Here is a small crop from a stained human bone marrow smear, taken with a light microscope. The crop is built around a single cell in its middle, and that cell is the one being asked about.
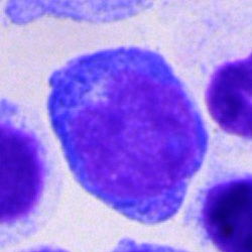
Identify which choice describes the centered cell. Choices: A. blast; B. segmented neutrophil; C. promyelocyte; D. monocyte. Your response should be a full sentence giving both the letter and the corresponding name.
Option A is correct here, and the cell in the middle is a blast.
